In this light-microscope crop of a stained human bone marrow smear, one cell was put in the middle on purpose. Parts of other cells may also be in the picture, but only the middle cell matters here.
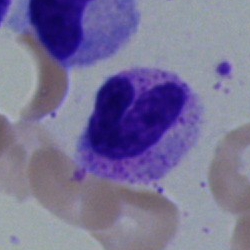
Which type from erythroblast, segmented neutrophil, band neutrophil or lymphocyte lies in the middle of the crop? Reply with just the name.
band neutrophil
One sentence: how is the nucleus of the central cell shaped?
What stands out is a nucleus forming one compact round, oval or kidney-shaped mass.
